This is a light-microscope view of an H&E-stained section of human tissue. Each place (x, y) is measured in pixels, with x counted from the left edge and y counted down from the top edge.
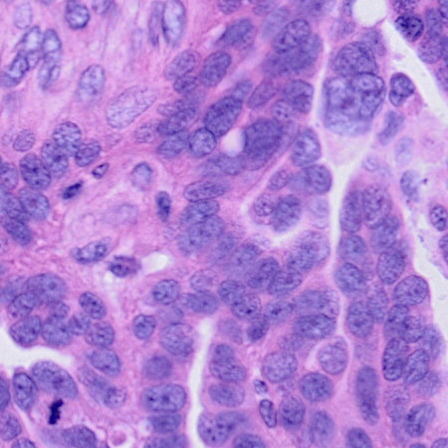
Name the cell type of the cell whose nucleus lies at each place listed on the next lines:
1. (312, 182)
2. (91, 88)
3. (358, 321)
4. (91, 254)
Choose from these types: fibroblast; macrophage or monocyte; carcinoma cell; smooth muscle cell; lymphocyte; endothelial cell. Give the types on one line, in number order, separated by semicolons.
carcinoma cell; fibroblast; carcinoma cell; fibroblast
